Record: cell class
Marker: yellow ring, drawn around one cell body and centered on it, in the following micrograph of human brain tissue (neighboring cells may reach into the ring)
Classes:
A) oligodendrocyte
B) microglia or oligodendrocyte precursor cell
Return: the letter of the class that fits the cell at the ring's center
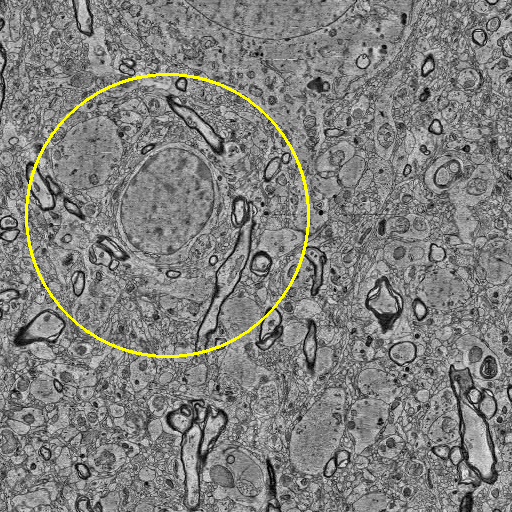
B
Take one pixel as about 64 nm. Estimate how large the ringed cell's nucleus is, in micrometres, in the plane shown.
The nucleus works out at approximately 7 by 6 micrometres in this plane.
